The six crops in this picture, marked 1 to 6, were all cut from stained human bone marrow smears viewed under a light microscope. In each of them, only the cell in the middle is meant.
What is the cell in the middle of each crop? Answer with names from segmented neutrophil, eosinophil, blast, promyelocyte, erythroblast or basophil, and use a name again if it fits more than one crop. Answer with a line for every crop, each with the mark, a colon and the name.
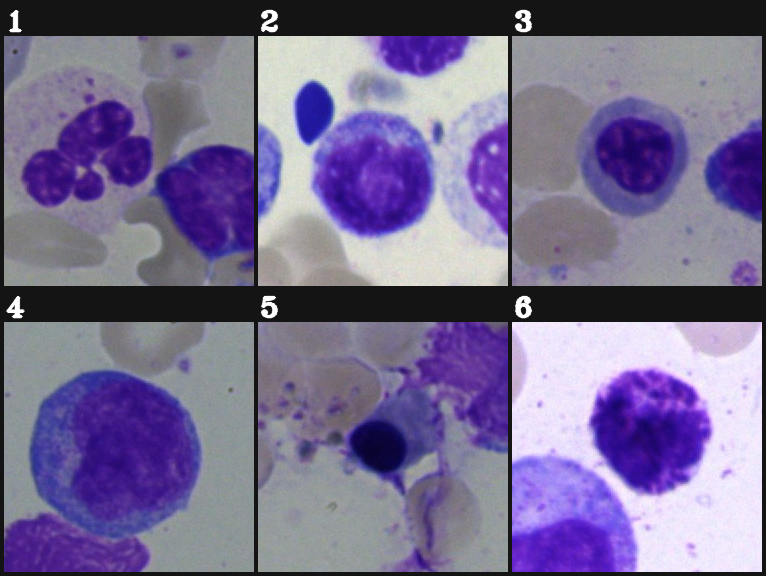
1: segmented neutrophil
2: blast
3: erythroblast
4: blast
5: erythroblast
6: basophil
